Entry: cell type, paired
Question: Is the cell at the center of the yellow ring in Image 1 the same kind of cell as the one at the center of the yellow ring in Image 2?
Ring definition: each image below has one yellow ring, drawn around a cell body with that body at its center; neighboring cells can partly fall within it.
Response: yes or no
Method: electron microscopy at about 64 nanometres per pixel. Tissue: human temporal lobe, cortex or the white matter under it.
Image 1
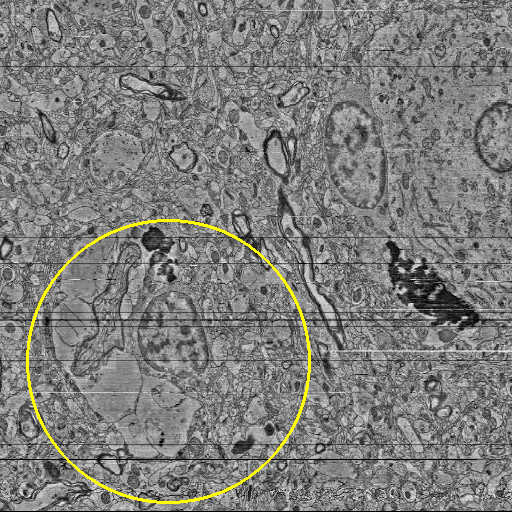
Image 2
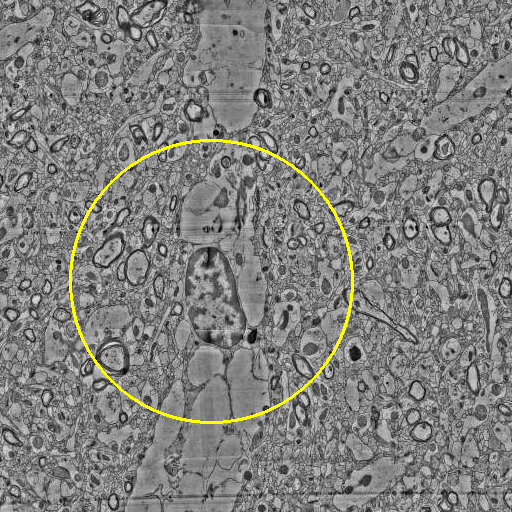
no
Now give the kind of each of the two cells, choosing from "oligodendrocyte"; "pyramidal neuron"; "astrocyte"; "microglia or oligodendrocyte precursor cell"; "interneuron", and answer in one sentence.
The cell in the first picture is an oligodendrocyte, and the cell in the second is a microglial cell or oligodendrocyte precursor cell.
